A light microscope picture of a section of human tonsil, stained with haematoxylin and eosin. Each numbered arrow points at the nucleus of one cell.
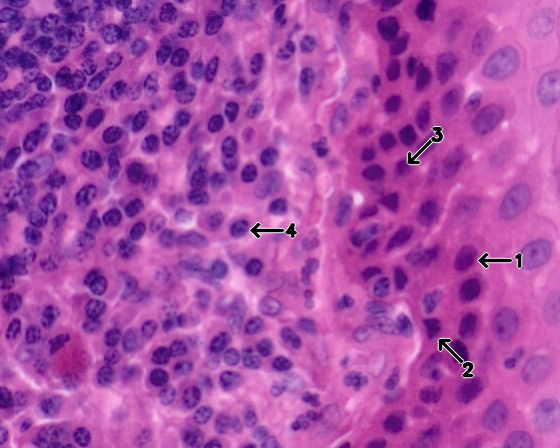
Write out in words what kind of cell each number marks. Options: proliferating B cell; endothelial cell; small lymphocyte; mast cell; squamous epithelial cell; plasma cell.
Cell 1 is a squamous epithelial cell, cell 2 is a squamous epithelial cell, cell 3 is a squamous epithelial cell and cell 4 is a plasma cell.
